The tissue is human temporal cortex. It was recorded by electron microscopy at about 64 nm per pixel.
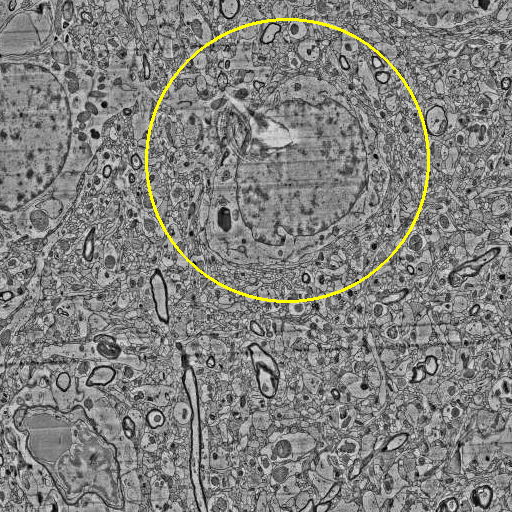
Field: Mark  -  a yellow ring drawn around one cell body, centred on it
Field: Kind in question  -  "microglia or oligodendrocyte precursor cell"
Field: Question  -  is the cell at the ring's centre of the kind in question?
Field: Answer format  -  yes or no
no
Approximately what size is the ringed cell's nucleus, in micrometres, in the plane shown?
In this plane, roughly 10 by 8 micrometres.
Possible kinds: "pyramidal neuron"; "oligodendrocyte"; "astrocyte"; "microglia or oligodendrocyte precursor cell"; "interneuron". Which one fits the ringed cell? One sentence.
Instead, the cell at the centre of the ring is an interneuron.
